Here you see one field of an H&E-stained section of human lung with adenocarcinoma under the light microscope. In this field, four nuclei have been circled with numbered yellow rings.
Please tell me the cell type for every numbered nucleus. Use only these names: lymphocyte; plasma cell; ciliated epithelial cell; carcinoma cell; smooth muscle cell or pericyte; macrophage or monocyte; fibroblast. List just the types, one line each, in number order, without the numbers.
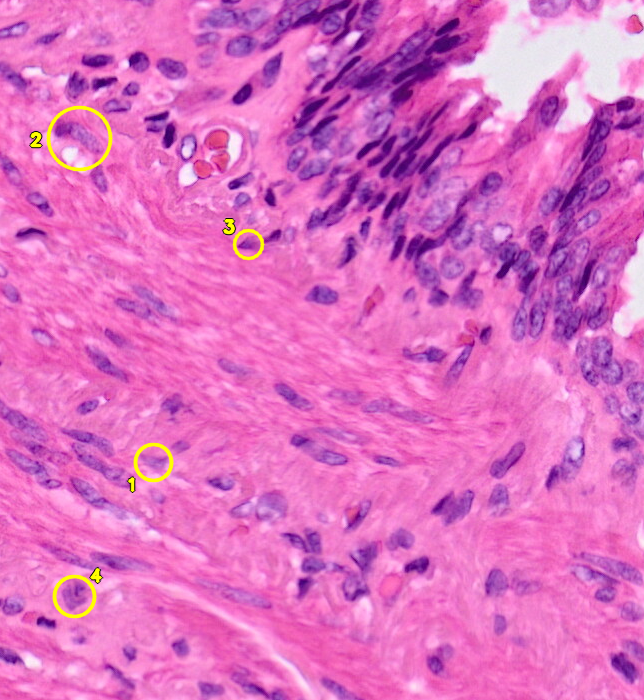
smooth muscle cell or pericyte
smooth muscle cell or pericyte
smooth muscle cell or pericyte
fibroblast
